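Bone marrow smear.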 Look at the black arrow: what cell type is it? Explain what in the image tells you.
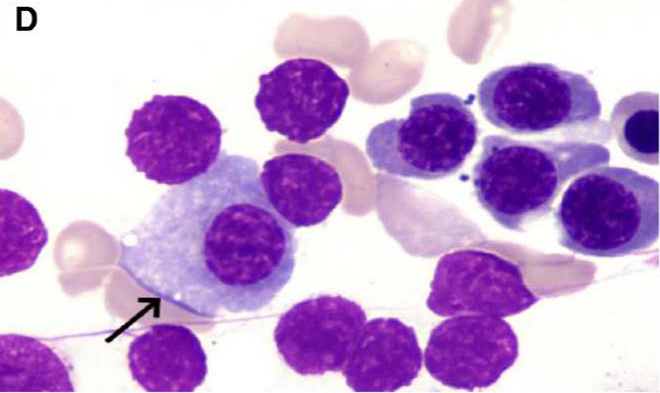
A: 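The marked cell has a round, off-centre nucleus with clumped chromatin. It has a broad rim of pale blue cytoplasm.
Plasma cells.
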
